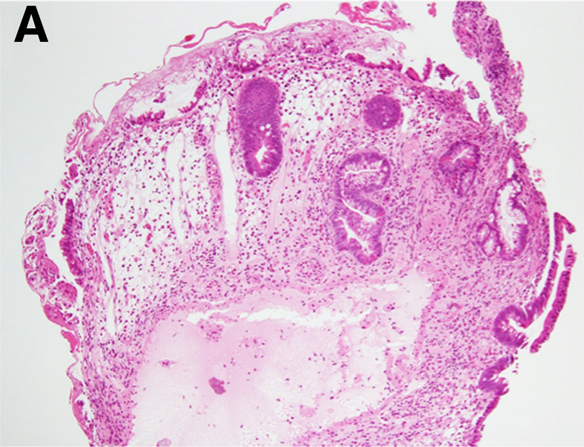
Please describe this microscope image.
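This is a biopsy of intestinal mucosa showing damaged, irregular crypts set in an inflamed lamina propria. Only a few crypts remain, and they are widely spaced and distorted, some small and rounded, others elongated, with darkly purple-stained epithelium. The surface epithelium is thin and in places separated from the underlying tissue. The lamina propria is loose and pale, scattered with small dark nuclei of inflammatory cells. The deep part of the fragment is filled by pale, homogeneous, glassy pink material with few cells.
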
